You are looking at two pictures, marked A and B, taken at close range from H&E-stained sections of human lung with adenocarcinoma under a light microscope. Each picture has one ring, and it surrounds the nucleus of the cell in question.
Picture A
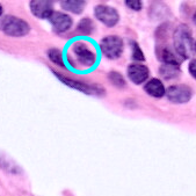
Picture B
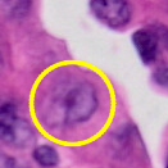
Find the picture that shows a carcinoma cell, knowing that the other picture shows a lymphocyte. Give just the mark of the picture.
B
